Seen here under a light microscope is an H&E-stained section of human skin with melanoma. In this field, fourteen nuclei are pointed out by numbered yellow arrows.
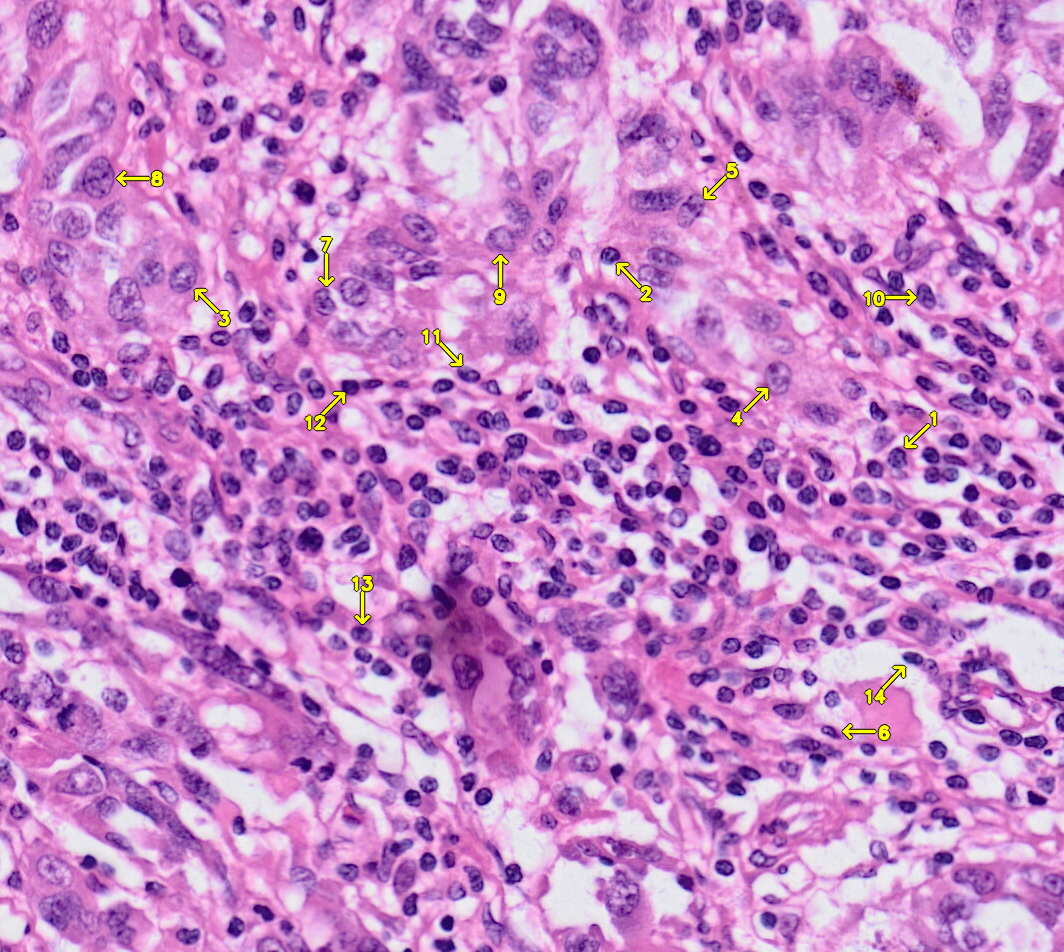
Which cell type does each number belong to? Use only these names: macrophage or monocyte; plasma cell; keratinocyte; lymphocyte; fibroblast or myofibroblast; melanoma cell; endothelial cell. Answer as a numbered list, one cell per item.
1. lymphocyte
2. lymphocyte
3. melanoma cell
4. melanoma cell
5. melanoma cell
6. lymphocyte
7. melanoma cell
8. melanoma cell
9. melanoma cell
10. lymphocyte
11. lymphocyte
12. lymphocyte
13. lymphocyte
14. lymphocyte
